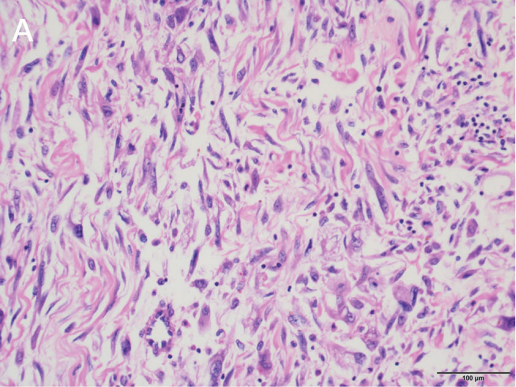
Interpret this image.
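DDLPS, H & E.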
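This sarcoma consists of spindle-shaped tumor cells with elongated, variably plump and hyperchromatic nuclei set in a pink collagen-rich stroma. The cells are crowded in some places and sparse in others, running in loose intersecting strands between bundles of collagen. A small cluster of round, dark inflammatory cells lies at the right edge.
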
